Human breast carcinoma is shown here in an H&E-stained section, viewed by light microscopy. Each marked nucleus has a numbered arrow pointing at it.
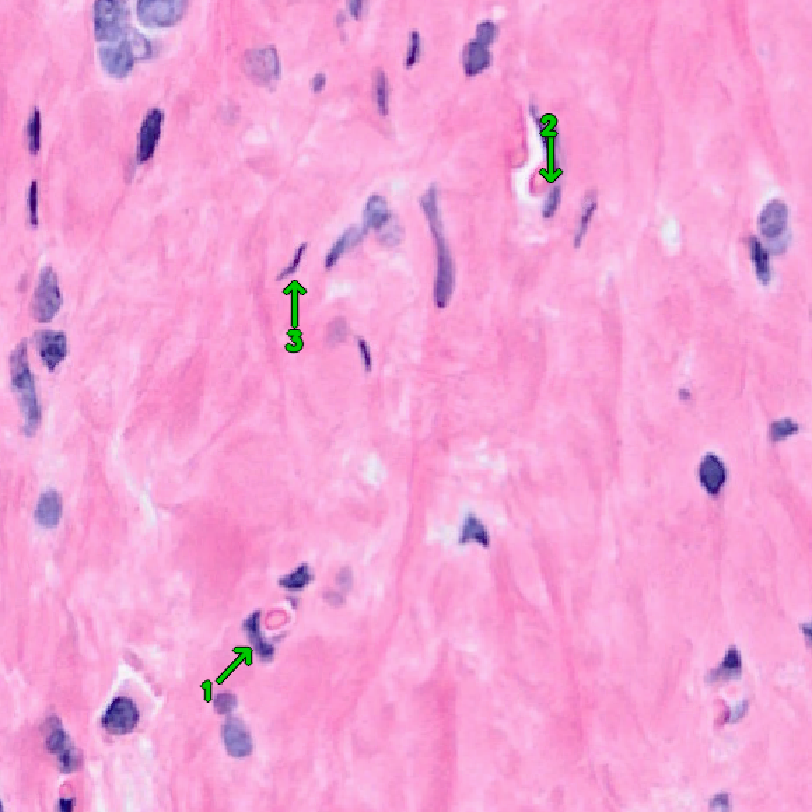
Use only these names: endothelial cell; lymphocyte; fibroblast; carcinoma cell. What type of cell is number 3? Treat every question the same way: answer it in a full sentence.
The cell referenced by the number 3 is a fibroblast in this field.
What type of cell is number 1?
The cell with the number 1 is an endothelial cell.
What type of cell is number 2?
The cell pointed out as number 2 is an endothelial cell.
